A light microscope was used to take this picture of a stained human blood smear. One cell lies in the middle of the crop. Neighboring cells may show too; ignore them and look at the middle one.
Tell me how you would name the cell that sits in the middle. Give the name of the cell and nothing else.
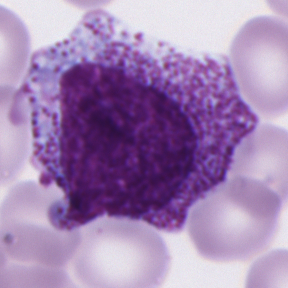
promyelocyte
